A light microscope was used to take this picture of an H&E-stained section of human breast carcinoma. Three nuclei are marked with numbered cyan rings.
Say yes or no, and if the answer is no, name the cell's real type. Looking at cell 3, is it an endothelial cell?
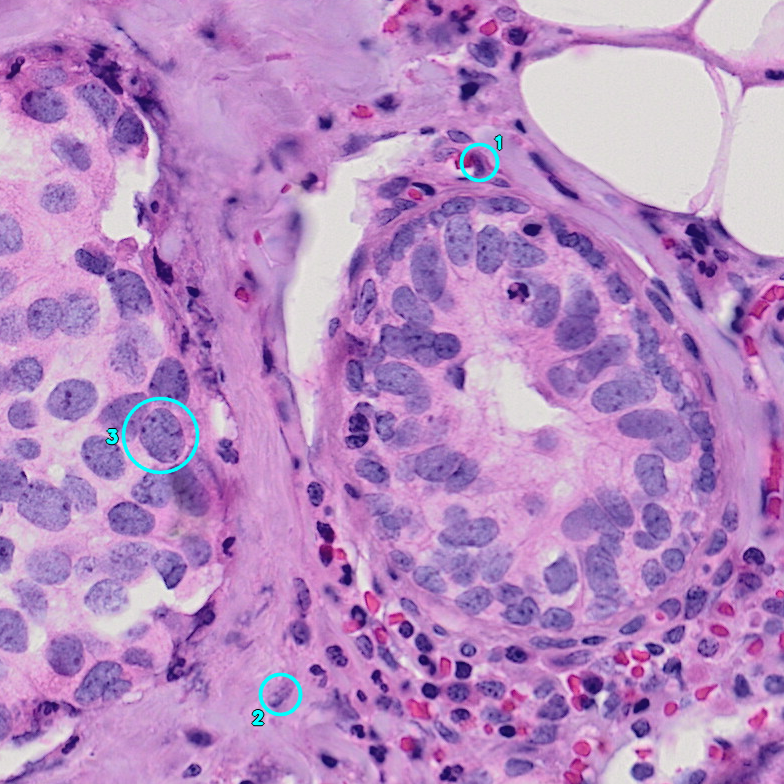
No, it is a carcinoma cell.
